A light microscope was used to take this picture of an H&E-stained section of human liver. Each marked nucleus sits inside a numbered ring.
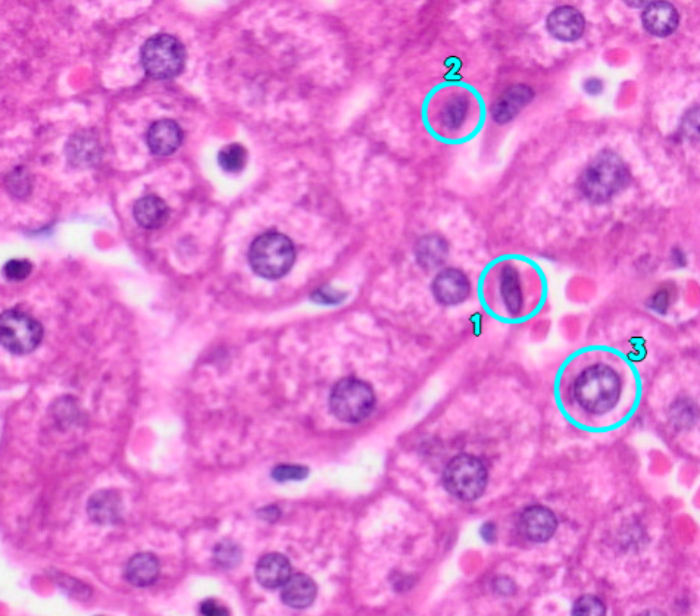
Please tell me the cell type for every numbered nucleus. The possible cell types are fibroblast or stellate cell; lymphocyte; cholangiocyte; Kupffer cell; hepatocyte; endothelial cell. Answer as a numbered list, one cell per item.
1. Kupffer cell
2. fibroblast or stellate cell
3. hepatocyte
